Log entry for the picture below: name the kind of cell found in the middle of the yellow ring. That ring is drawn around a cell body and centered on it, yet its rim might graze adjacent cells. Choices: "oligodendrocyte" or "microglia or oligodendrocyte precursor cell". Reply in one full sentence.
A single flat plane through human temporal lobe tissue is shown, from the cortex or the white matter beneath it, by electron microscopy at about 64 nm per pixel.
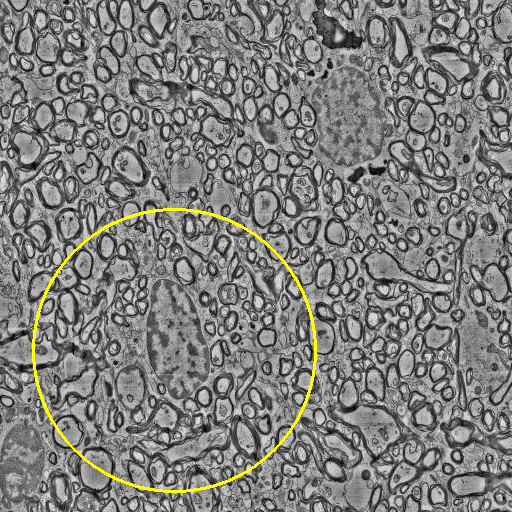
The cell in the middle of the yellow ring in this picture is a microglial cell or oligodendrocyte precursor cell.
